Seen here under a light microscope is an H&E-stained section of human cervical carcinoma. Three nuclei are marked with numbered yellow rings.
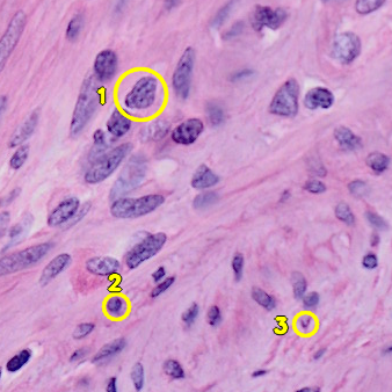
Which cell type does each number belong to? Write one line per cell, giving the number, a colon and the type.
1: lymphocyte
2: smooth muscle cell
3: smooth muscle cell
